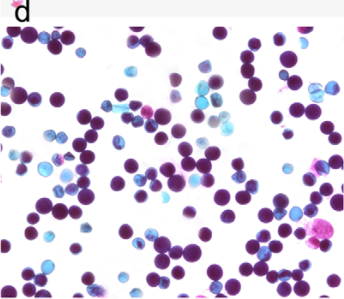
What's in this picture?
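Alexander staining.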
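Mature pollen grains are scattered and vary widely in size. Many are small and stain blue-green or pale blue, mixed with larger round grains stained purple to magenta.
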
